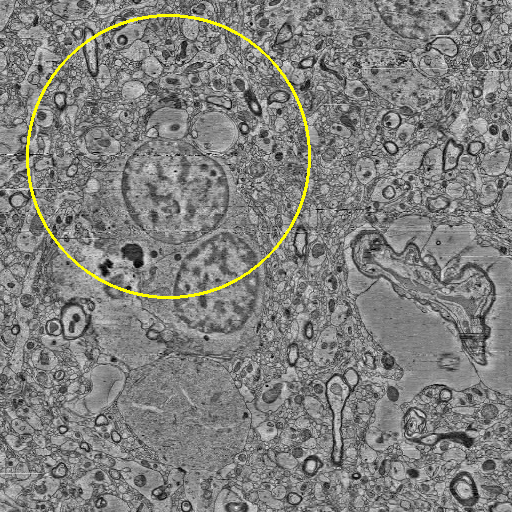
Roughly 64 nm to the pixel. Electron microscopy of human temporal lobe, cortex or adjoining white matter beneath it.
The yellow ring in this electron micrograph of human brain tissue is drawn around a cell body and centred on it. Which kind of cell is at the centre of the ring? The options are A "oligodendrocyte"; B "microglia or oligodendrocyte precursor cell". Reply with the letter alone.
A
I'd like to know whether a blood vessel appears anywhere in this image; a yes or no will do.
Yes, a vessel appears in the picture.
